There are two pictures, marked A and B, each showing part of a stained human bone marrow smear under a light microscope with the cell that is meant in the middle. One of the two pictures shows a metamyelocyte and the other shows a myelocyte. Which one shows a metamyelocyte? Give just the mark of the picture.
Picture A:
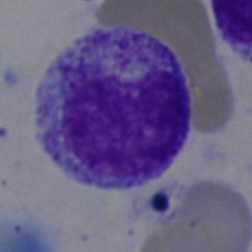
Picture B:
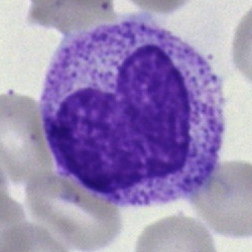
B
